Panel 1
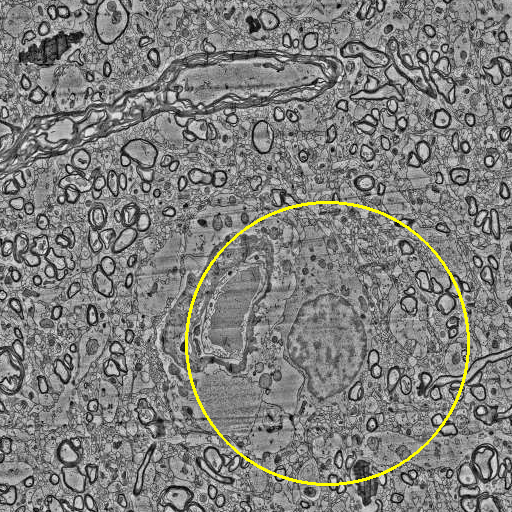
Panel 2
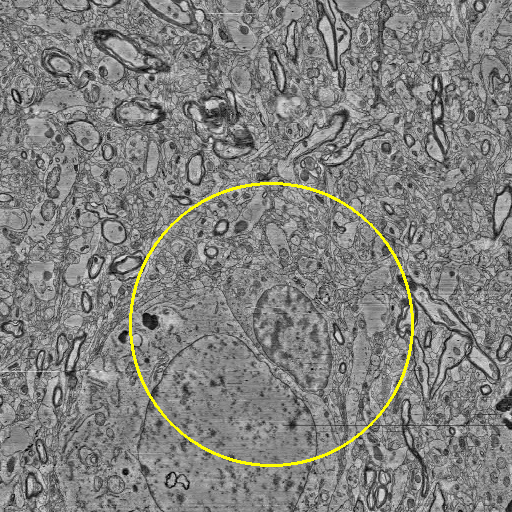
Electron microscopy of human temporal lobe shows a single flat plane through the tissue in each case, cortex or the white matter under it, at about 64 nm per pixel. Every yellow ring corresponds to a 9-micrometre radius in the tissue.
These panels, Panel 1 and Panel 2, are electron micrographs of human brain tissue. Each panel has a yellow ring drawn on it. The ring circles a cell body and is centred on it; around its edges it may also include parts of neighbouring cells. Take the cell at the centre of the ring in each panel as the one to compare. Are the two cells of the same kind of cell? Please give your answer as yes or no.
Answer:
yes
